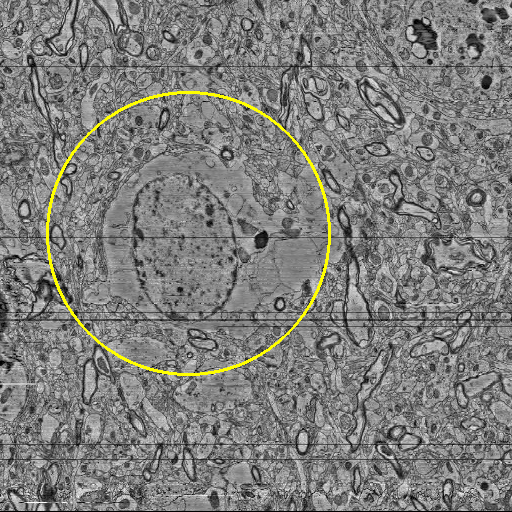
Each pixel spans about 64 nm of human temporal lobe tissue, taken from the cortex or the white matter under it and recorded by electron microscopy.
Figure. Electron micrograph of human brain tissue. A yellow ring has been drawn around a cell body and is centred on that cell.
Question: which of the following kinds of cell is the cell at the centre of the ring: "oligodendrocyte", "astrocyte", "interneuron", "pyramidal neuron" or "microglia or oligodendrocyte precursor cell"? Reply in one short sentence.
The cell at the centre of the ring is an astrocyte.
